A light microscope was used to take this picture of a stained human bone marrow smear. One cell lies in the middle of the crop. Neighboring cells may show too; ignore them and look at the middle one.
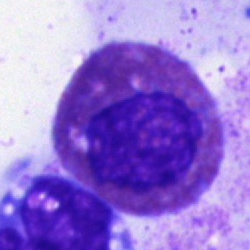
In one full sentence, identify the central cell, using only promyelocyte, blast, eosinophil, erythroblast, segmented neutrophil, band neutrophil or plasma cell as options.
In the centre of this crop there is an eosinophil.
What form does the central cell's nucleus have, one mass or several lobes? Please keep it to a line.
The cell carries one compact nucleus shaped round, oval or like a kidney.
